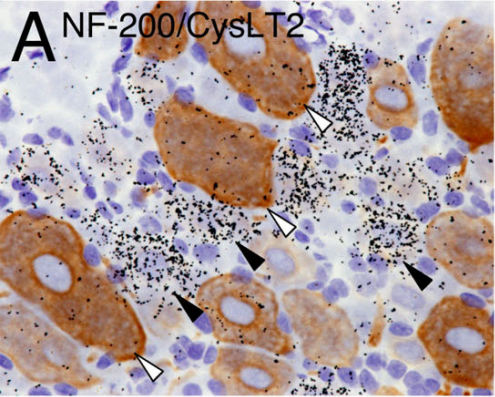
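Sensory ganglion neurons of varying size lie among many small blue-stained satellite and support cell nuclei. The largest neuron bodies have round pale nuclei and evenly brown cytoplasm with only scattered black grains over them. Smaller neurons between them lack the brown stain but are densely covered by black silver grains.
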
